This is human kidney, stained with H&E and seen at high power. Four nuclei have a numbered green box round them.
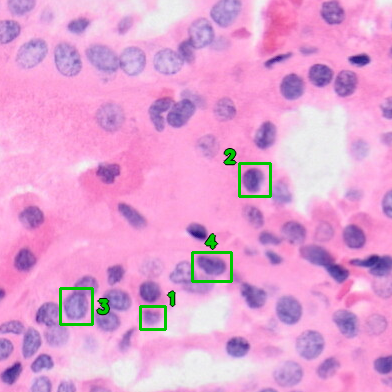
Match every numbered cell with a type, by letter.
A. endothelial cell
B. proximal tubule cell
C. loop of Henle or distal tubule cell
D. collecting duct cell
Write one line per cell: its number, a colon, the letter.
1: D
2: C
3: D
4: D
